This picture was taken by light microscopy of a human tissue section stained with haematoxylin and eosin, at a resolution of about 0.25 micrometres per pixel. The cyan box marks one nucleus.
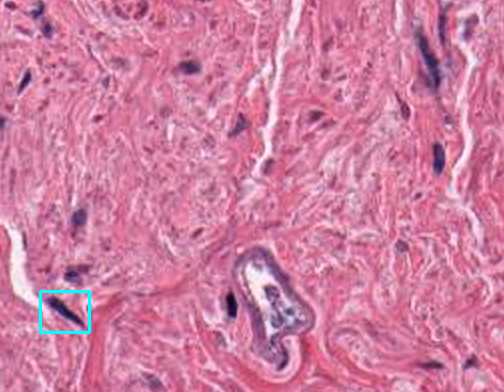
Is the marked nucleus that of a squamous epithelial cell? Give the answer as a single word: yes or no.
no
